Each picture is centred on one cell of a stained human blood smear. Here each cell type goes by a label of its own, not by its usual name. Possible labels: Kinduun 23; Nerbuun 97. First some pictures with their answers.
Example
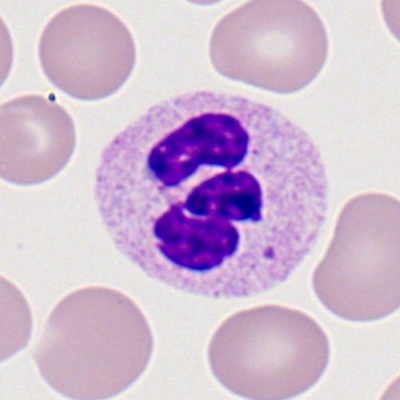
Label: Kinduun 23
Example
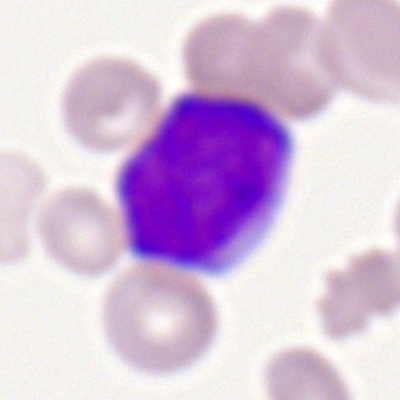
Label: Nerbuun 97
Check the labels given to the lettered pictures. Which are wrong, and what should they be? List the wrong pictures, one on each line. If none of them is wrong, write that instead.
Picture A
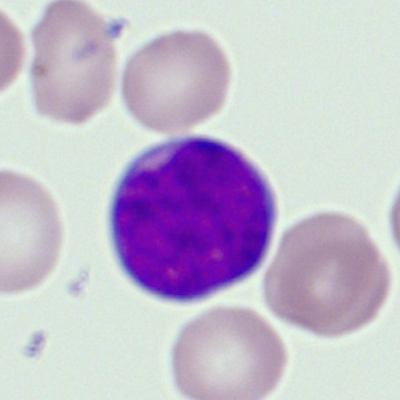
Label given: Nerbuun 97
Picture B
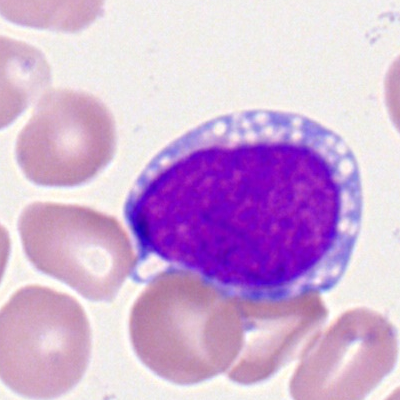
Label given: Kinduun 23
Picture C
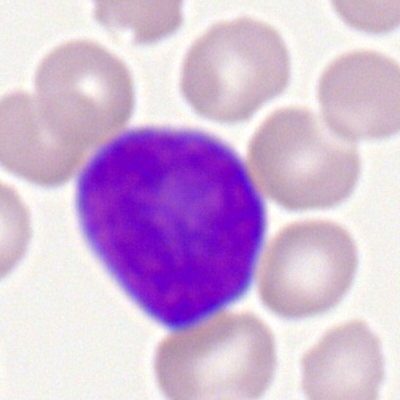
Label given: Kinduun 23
B: not Kinduun 23 but Nerbuun 97
C: not Kinduun 23 but Nerbuun 97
